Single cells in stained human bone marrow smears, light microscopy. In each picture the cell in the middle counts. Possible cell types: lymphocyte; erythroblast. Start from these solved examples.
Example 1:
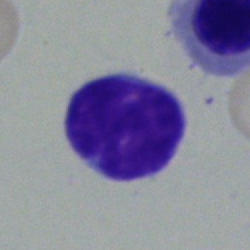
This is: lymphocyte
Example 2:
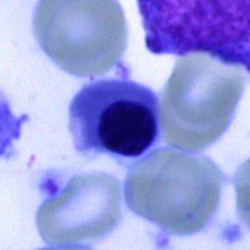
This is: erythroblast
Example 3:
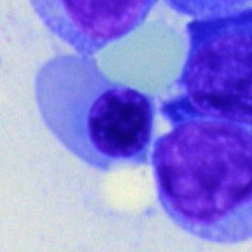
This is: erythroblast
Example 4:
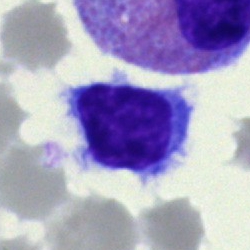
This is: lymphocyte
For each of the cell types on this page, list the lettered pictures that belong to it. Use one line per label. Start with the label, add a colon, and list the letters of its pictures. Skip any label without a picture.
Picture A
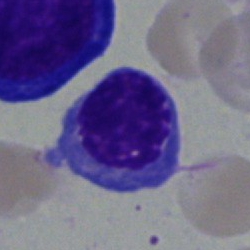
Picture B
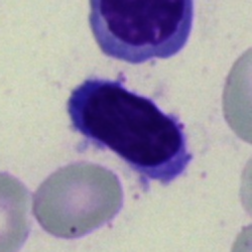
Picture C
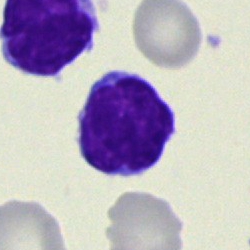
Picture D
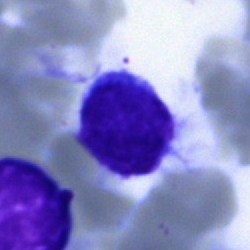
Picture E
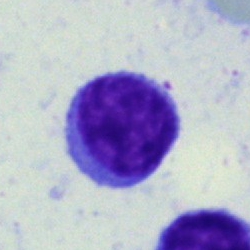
lymphocyte: B, C, D, E
erythroblast: A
